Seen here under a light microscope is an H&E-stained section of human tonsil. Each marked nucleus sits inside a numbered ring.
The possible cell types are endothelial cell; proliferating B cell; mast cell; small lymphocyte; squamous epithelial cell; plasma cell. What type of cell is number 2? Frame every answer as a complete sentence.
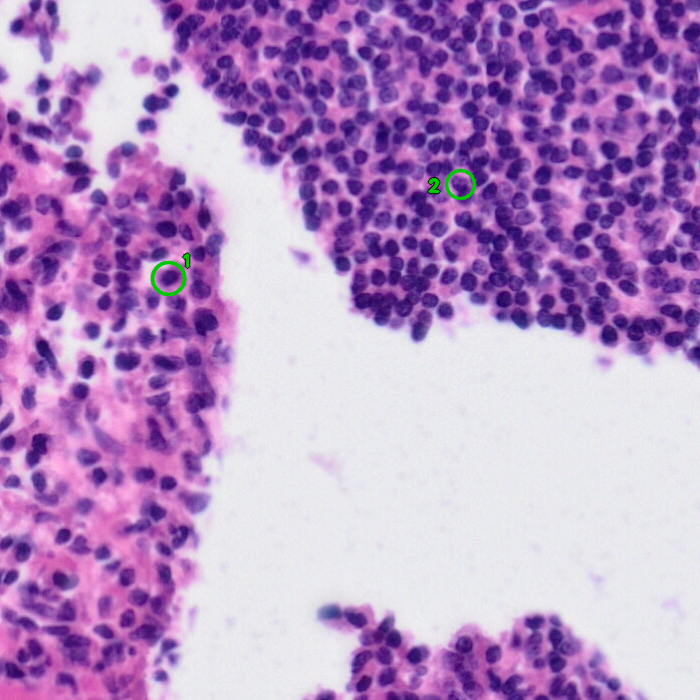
Identified as a small lymphocyte is the cell bearing the number 2.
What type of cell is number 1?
The mark numbered 1 indicates the nucleus of a plasma cell.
